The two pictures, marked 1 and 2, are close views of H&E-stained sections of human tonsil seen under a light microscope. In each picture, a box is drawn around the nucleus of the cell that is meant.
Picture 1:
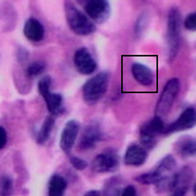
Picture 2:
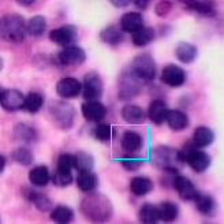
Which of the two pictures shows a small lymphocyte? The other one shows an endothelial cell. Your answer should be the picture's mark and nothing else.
2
